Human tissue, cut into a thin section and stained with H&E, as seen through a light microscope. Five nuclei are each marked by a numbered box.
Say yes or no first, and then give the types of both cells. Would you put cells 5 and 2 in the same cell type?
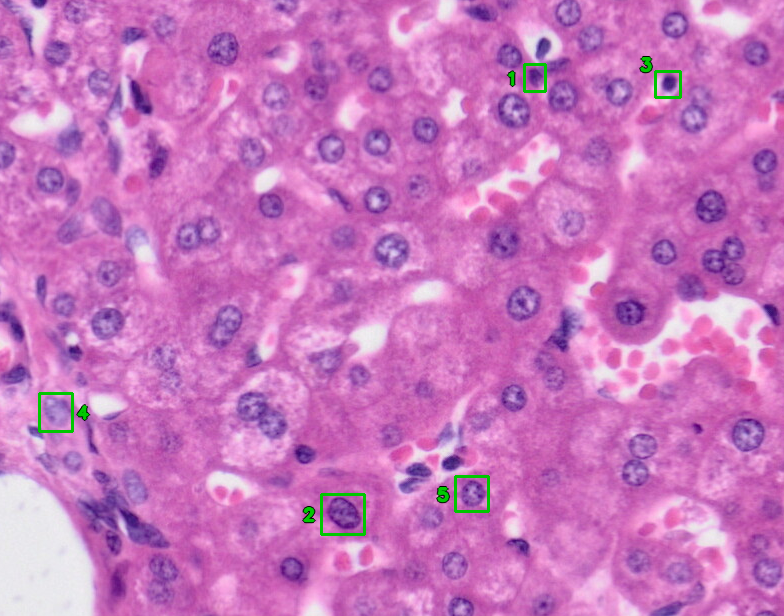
Yes, both are hepatocytes.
